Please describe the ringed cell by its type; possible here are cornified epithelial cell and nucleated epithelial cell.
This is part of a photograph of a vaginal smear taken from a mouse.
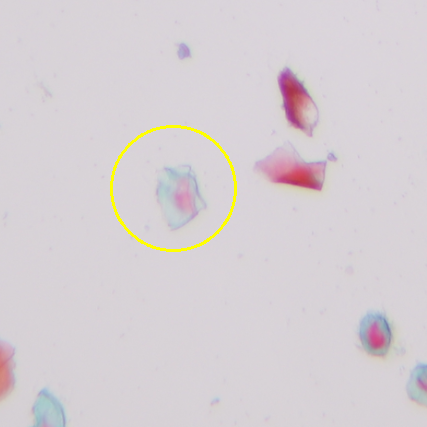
The yellow ring marks a nucleated epithelial cell.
